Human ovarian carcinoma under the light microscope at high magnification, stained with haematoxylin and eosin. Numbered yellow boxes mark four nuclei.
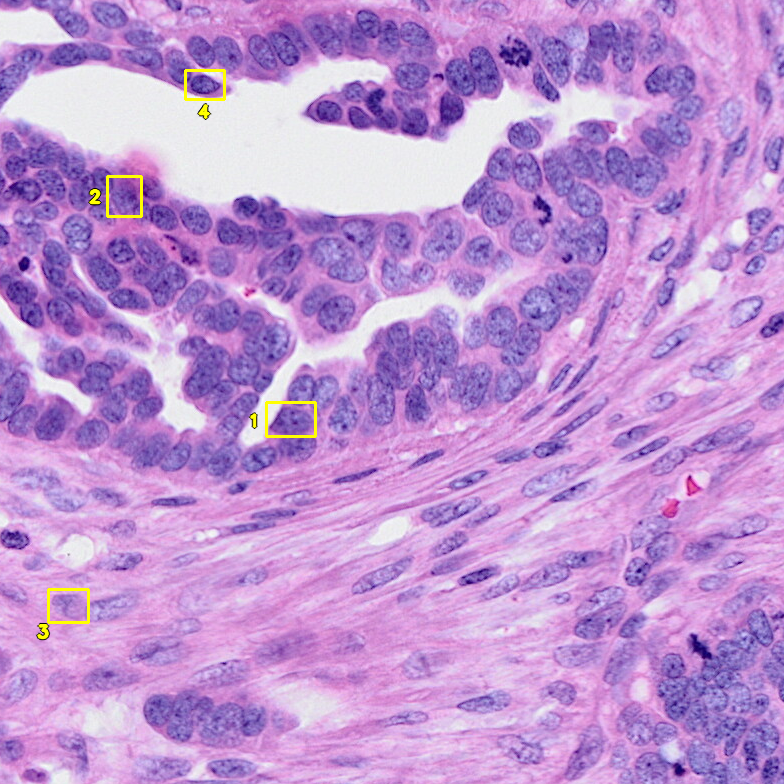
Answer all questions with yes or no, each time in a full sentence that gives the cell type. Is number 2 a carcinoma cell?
Yes, and to answer plainly, cell 2 is a carcinoma cell.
